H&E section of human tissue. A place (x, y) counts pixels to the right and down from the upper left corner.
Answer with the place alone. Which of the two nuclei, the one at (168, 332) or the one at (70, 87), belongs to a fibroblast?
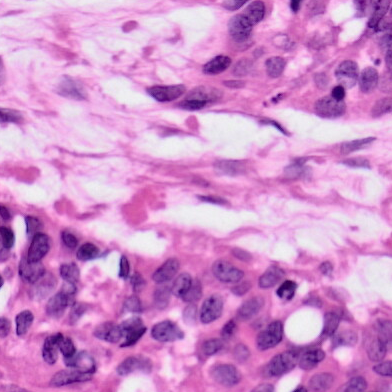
(70, 87)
